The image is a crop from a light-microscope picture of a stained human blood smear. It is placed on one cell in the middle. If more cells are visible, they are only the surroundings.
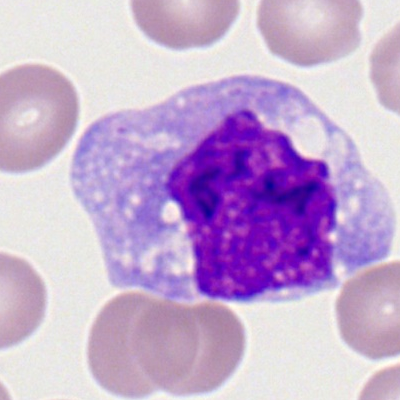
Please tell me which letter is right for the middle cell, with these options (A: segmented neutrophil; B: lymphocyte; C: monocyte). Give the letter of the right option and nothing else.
C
